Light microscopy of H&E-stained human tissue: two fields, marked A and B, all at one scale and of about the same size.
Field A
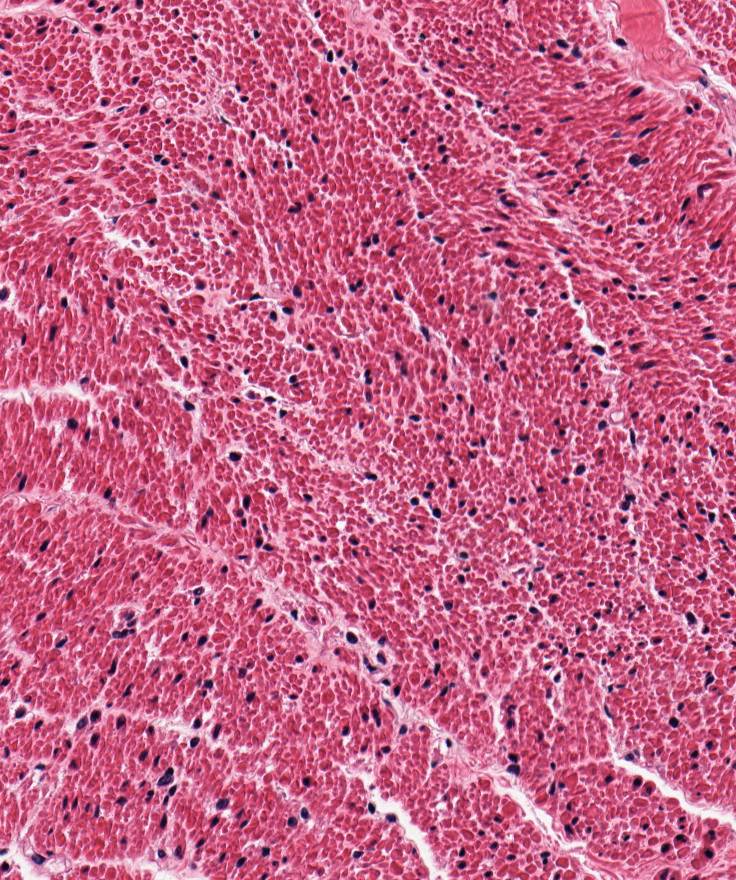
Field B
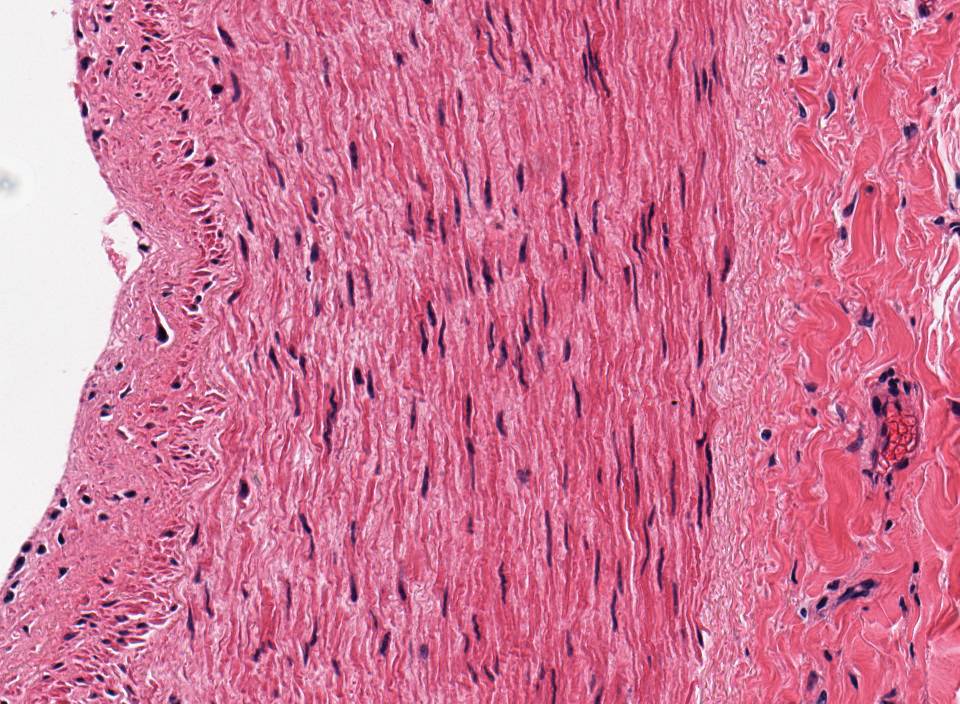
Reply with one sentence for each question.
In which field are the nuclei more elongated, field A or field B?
The nuclei are more elongated in field B.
